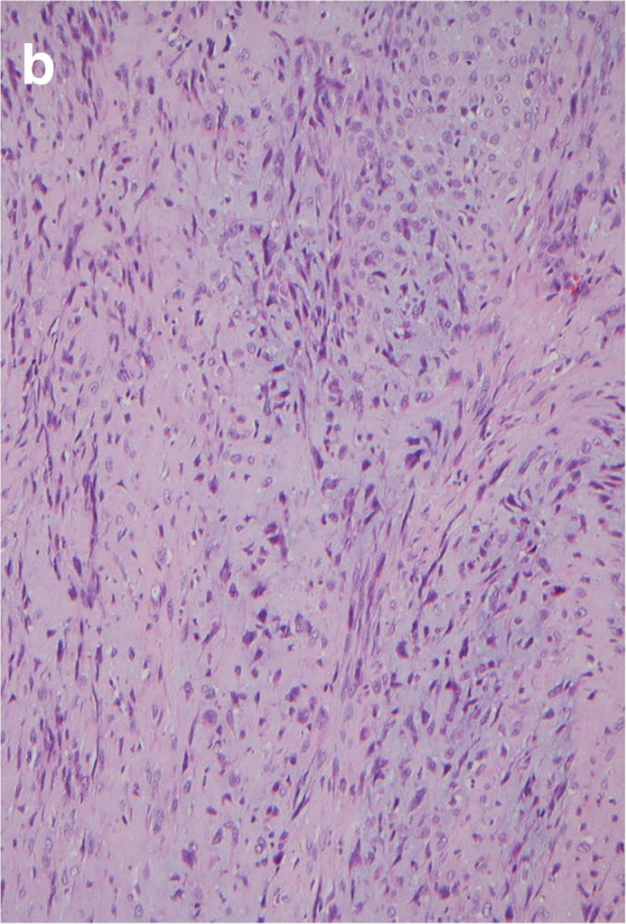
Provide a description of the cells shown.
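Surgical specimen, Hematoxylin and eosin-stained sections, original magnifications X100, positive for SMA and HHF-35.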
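Elongated spindle cells with dark, tapered to cigar-shaped nuclei run in loose, intersecting fascicles within a pink eosinophilic background. The nuclei vary considerably in size and shape, several are enlarged and hyperchromatic, and some cells are plumper with rounder nuclei. This fascicular spindle-cell growth with marked nuclear atypia fits a malignant smooth muscle tumor, a leiomyosarcoma.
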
